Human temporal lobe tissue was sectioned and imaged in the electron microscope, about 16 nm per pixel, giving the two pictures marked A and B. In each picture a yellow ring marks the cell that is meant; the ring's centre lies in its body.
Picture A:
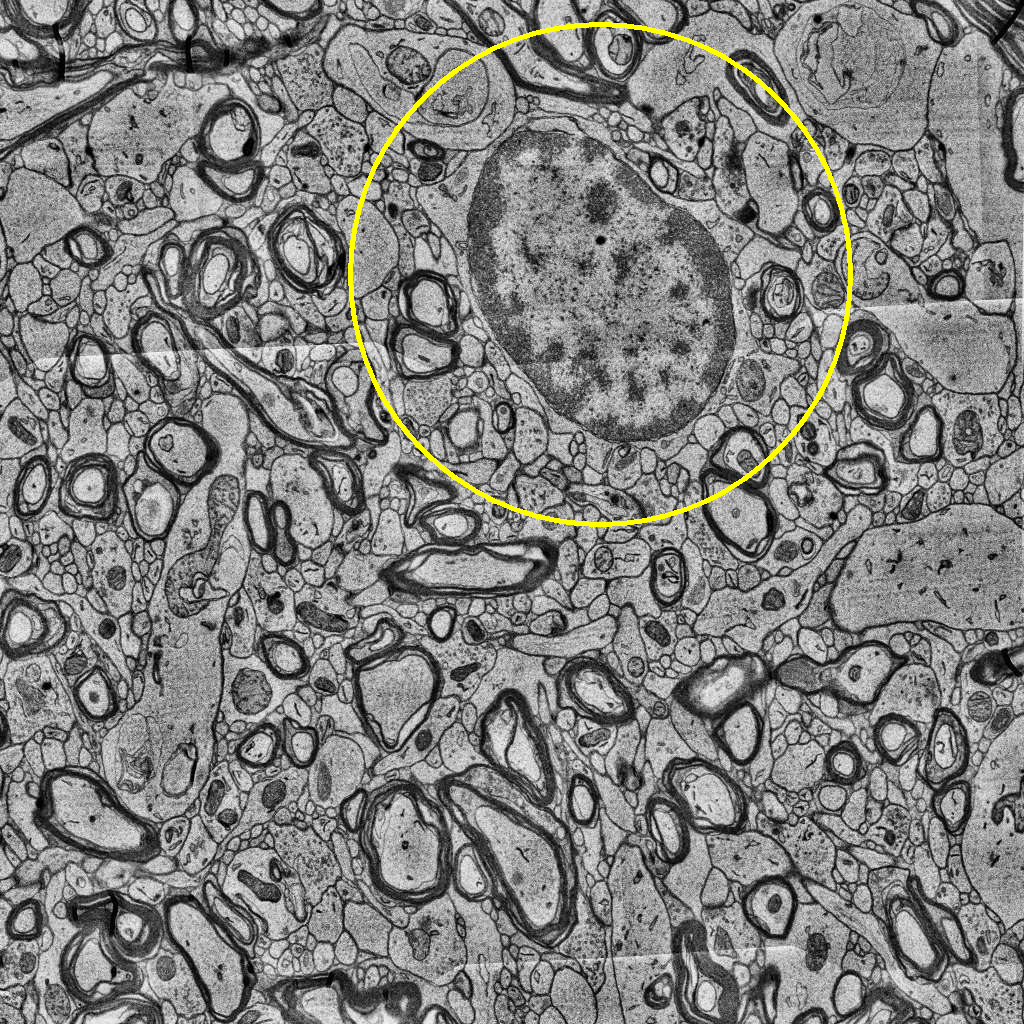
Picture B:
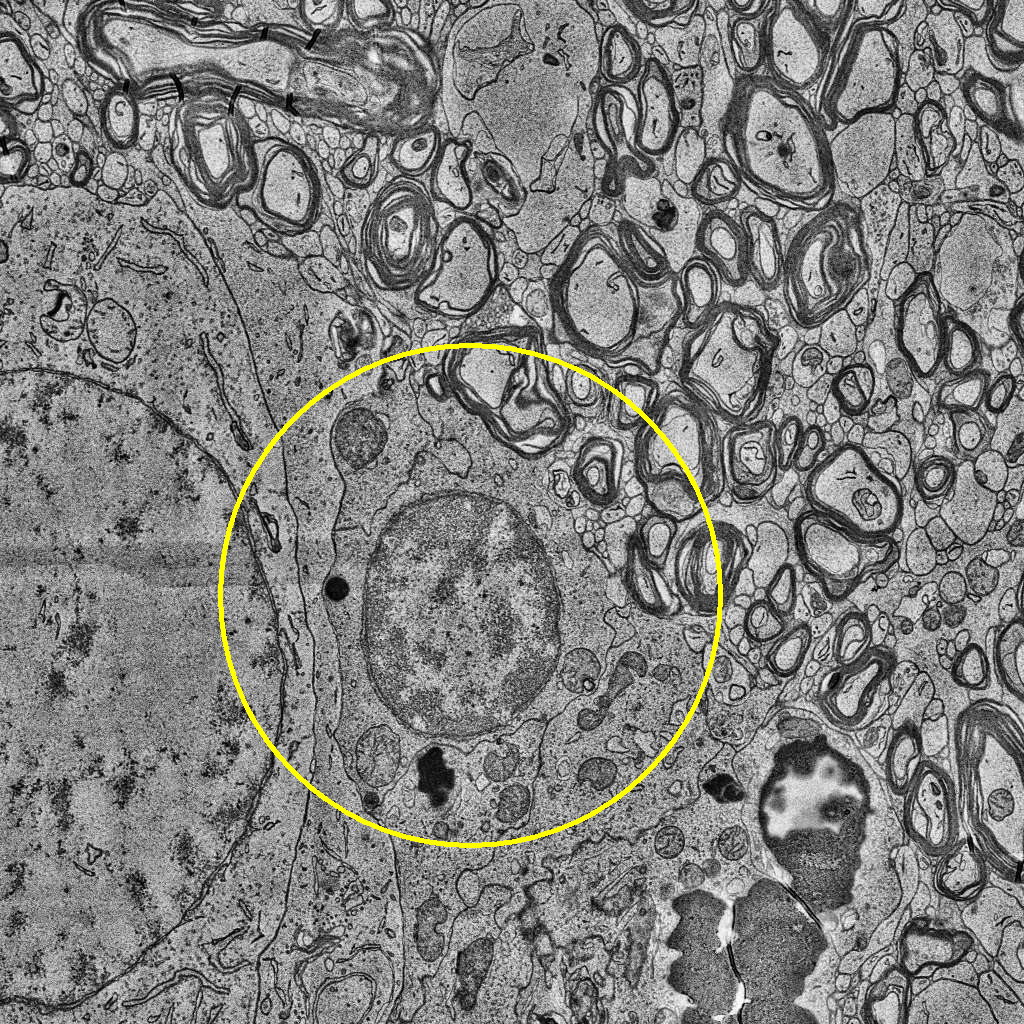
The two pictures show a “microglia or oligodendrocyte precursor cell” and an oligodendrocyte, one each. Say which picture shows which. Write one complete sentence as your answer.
The cell in picture A is a “microglia or oligodendrocyte precursor cell”, and the one in picture B is an oligodendrocyte.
